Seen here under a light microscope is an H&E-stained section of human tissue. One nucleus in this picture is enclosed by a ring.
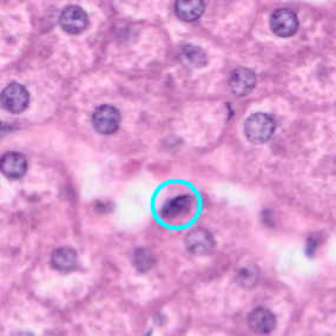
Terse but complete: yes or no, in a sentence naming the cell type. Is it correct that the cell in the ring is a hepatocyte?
No, the cell in the ring isn't a hepatocyte; it is a fibroblast or stellate cell.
